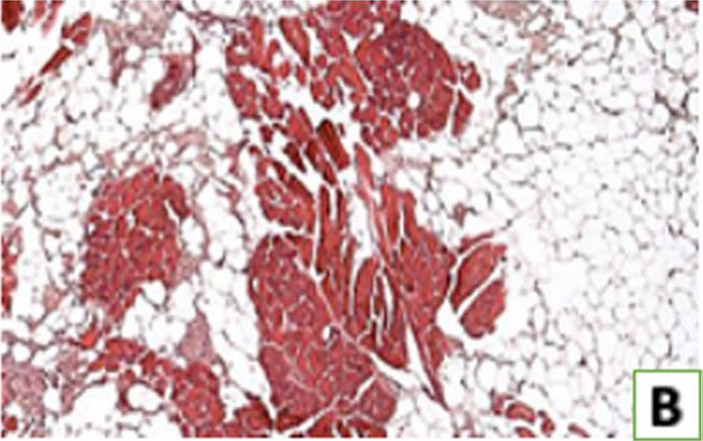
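This is skeletal muscle with fatty infiltration, in which irregular bundles of red-pink muscle fibres lie within wide areas of clear, polygonal fat cells. The fat cells have thin walls and empty-looking interiors, and they surround the remaining muscle bundles on all sides.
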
